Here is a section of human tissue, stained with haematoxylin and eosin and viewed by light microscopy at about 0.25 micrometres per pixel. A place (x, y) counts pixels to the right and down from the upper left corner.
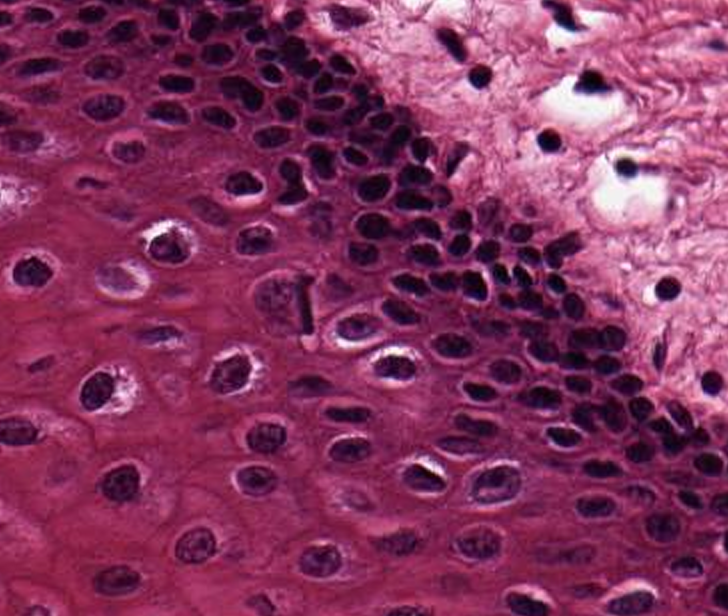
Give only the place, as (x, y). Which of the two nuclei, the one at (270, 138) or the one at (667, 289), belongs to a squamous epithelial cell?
(270, 138)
